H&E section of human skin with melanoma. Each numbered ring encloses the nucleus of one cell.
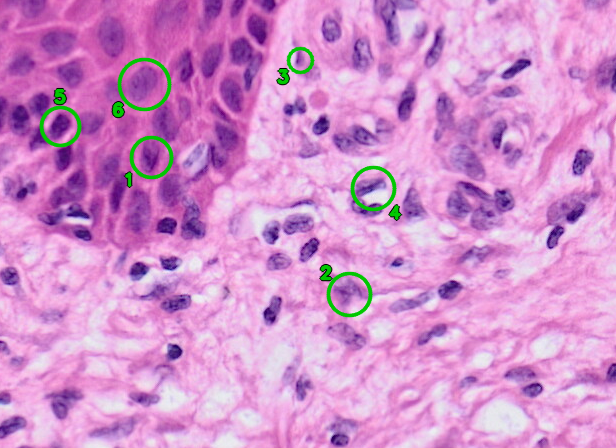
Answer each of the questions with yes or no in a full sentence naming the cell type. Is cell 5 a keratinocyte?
Yes, the cell whose number is 5 is a keratinocyte.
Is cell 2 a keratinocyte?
No, a keratinocyte is not what cell 2 is; it is a fibroblast or myofibroblast.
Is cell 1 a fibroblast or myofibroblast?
No, cell 1 is not a fibroblast or myofibroblast, but is instead a keratinocyte.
